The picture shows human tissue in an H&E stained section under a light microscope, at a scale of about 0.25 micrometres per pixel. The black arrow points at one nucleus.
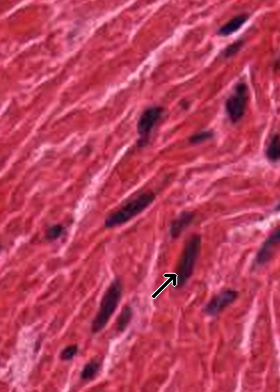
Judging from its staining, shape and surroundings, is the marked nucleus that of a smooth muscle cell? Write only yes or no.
yes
